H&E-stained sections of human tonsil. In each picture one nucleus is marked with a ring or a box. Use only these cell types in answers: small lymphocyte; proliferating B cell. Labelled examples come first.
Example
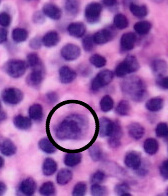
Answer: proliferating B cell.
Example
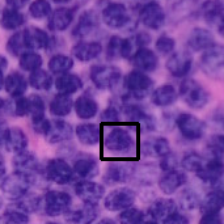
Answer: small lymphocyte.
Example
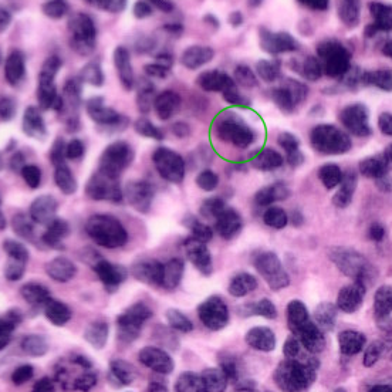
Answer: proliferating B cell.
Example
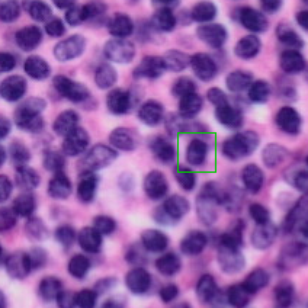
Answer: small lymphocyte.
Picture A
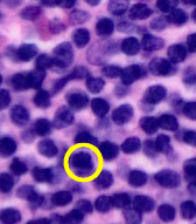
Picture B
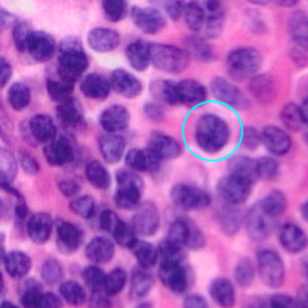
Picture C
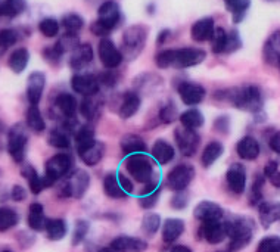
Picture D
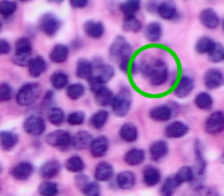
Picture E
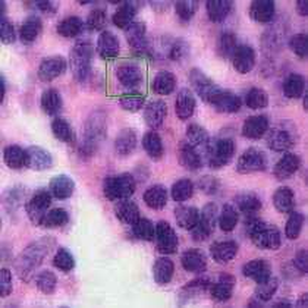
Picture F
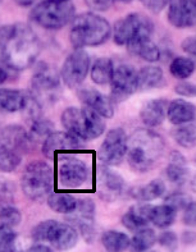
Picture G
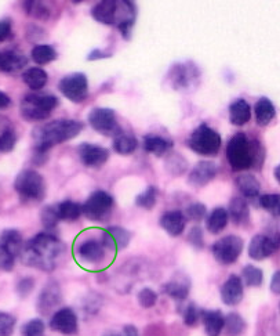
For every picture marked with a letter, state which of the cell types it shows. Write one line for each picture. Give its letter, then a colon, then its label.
A: small lymphocyte.
B: proliferating B cell.
C: small lymphocyte.
D: proliferating B cell.
E: small lymphocyte.
F: proliferating B cell.
G: proliferating B cell.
